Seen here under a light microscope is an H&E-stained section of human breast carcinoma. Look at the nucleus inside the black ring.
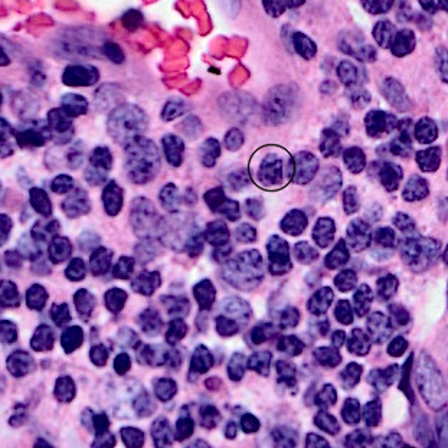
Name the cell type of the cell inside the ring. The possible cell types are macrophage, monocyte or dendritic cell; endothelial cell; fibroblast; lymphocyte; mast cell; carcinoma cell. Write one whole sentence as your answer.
The expected answer is simply that the cell inside the ring is a lymphocyte.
